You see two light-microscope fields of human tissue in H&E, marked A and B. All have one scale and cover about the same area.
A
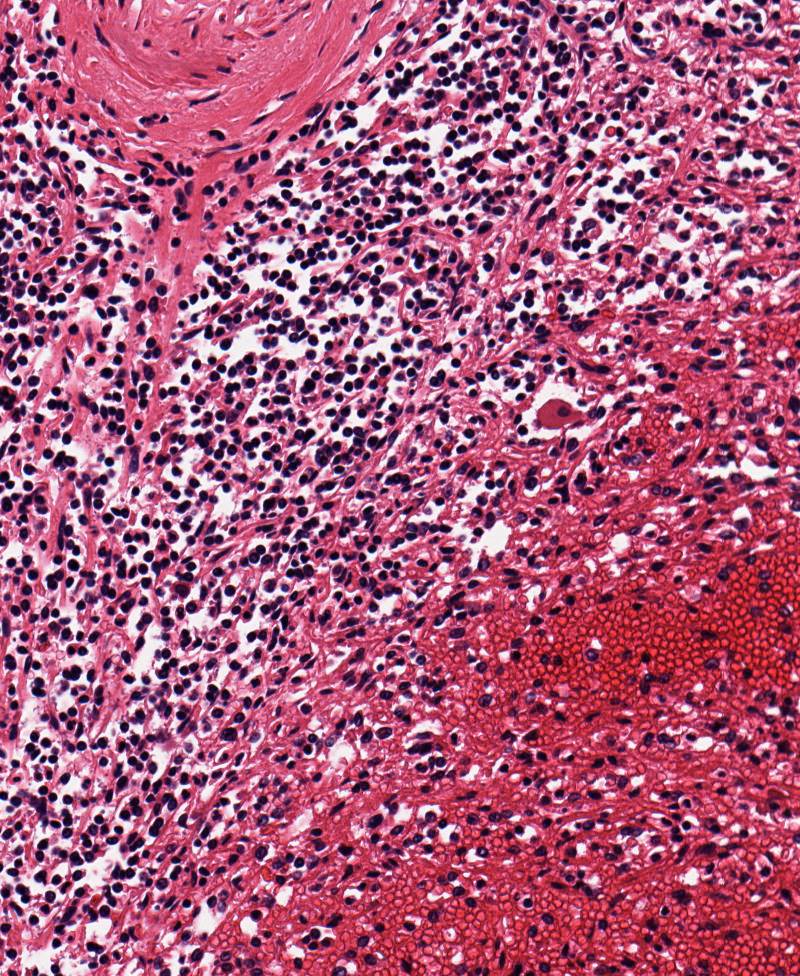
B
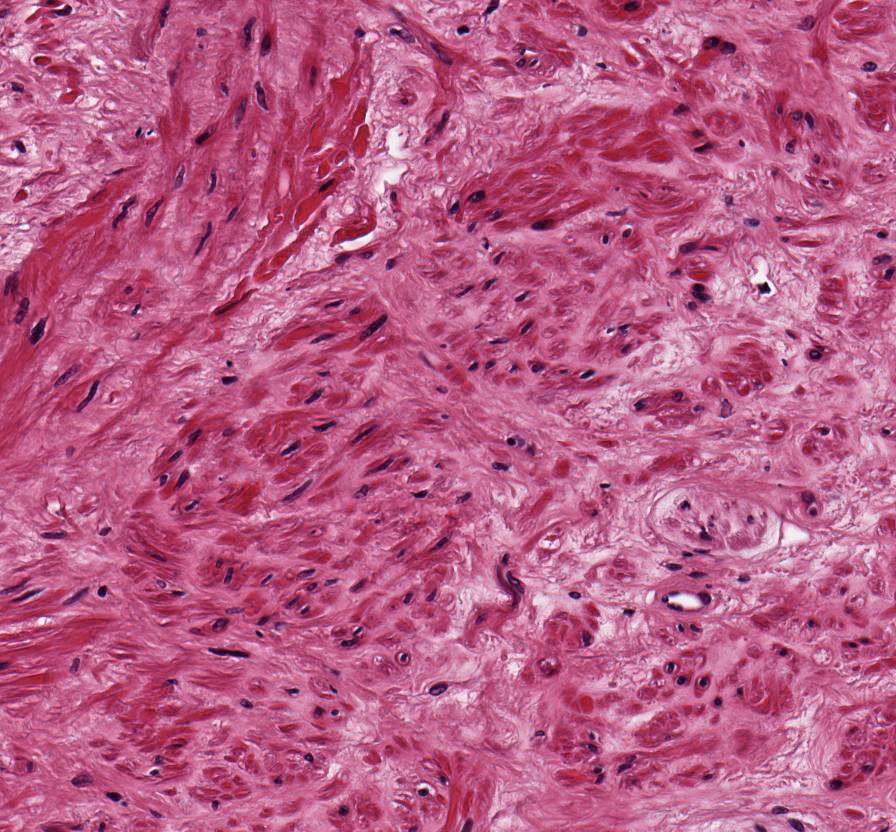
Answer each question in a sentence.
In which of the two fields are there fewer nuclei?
The smaller number of nuclei is in field B.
